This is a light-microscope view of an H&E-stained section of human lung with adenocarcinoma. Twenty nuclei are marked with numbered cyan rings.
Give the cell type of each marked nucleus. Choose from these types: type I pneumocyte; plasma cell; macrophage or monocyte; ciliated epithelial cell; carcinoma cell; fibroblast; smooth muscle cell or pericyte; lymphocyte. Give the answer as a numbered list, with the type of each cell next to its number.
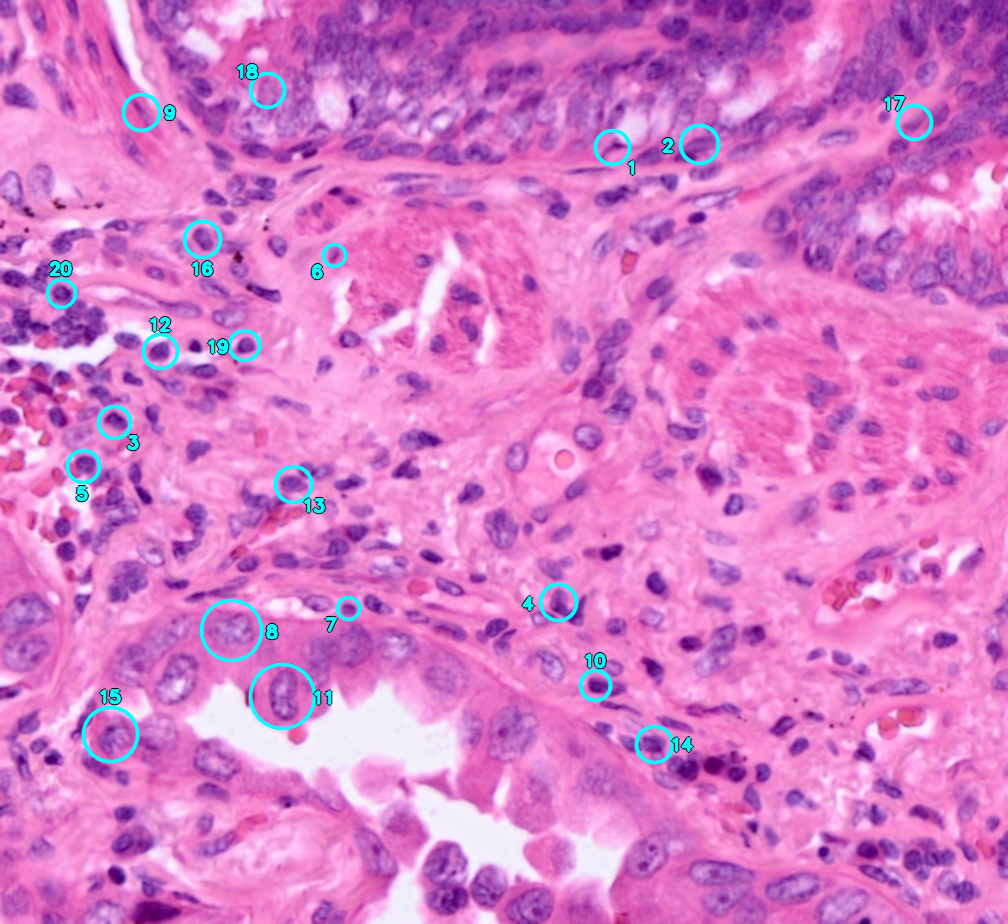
1. ciliated epithelial cell
2. ciliated epithelial cell
3. lymphocyte
4. lymphocyte
5. lymphocyte
6. smooth muscle cell or pericyte
7. lymphocyte
8. carcinoma cell
9. smooth muscle cell or pericyte
10. lymphocyte
11. carcinoma cell
12. lymphocyte
13. lymphocyte
14. lymphocyte
15. carcinoma cell
16. lymphocyte
17. ciliated epithelial cell
18. ciliated epithelial cell
19. lymphocyte
20. lymphocyte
